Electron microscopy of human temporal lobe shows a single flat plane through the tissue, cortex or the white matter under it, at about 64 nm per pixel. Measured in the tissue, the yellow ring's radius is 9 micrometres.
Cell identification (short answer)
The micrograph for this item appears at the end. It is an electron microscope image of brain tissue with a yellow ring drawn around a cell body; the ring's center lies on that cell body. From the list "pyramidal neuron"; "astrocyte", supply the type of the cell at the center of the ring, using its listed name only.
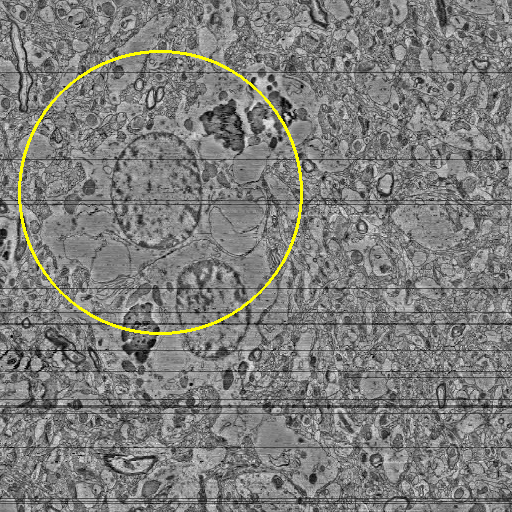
astrocyte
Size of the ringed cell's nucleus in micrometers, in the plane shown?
The nucleus is approximately 8 micrometers long by 6 micrometers wide in this plane.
